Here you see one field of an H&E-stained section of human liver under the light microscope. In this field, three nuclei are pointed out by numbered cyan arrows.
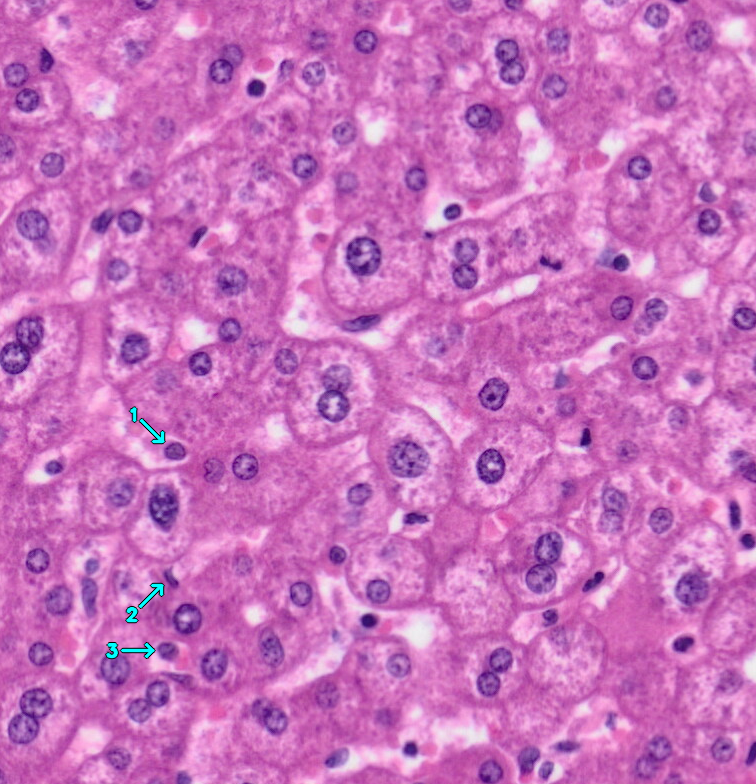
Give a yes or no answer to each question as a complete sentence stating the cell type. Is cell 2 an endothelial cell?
Yes, the cell indicated by number 2 is an endothelial cell.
